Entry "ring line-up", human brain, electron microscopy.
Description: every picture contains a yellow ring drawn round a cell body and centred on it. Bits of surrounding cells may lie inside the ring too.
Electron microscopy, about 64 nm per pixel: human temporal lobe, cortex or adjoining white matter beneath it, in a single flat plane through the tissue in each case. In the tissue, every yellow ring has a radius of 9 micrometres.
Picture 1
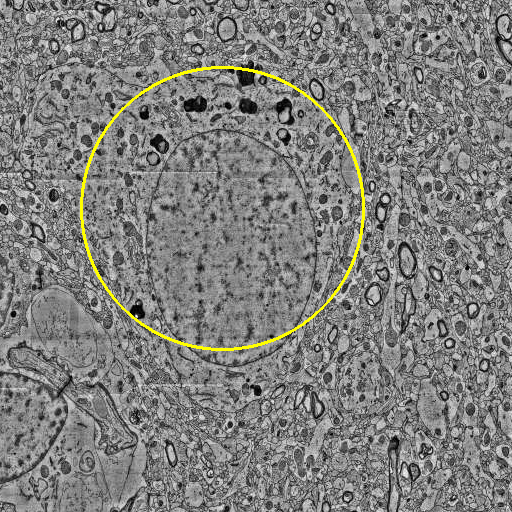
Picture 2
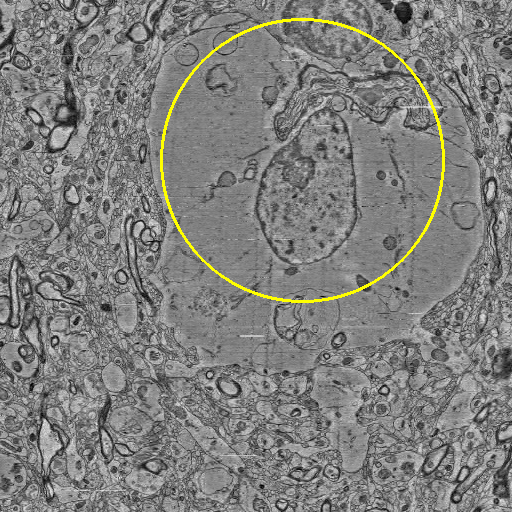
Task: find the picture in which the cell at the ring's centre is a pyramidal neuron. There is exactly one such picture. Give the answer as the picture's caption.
Picture 1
